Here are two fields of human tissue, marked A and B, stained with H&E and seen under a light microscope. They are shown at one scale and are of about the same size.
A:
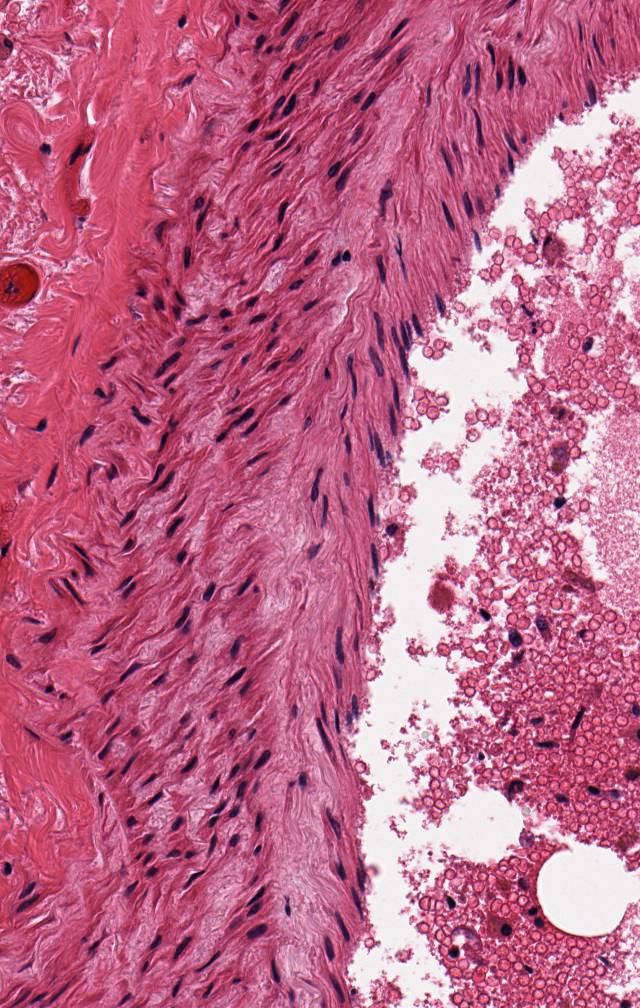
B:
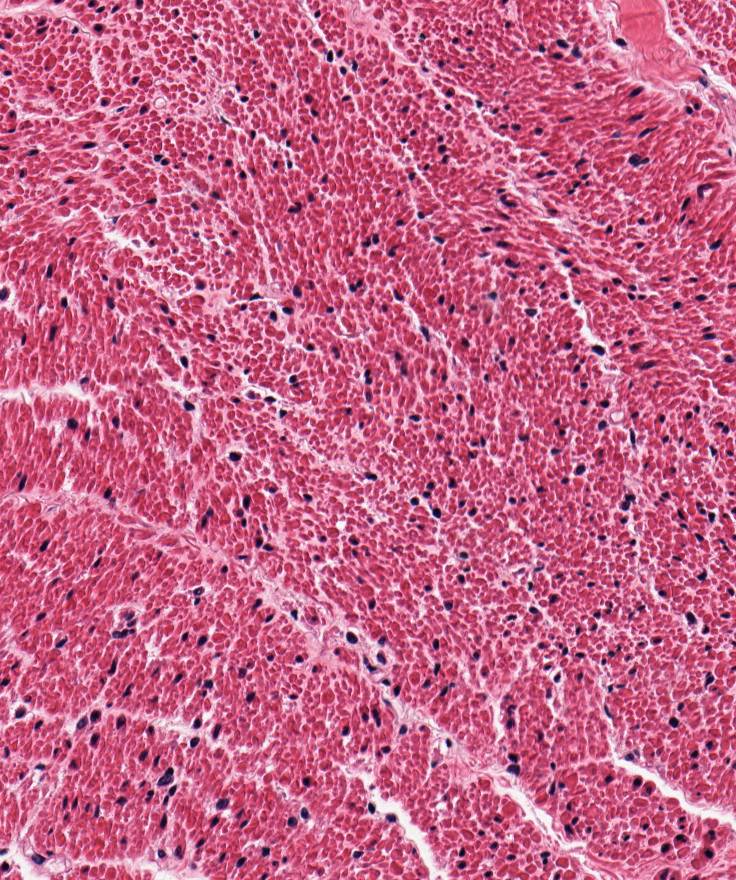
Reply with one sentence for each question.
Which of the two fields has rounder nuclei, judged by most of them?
The nuclei are rounder in field B.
